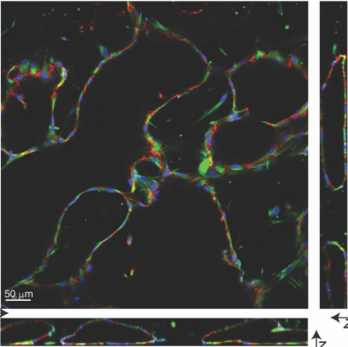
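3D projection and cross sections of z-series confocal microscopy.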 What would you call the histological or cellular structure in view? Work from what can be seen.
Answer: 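Microvascular network. Long branching tubes lined by elongated cells with blue nuclei. The tubes connect with one another into loops. Side views show the tubes as outlines enclosing a dark interior.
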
